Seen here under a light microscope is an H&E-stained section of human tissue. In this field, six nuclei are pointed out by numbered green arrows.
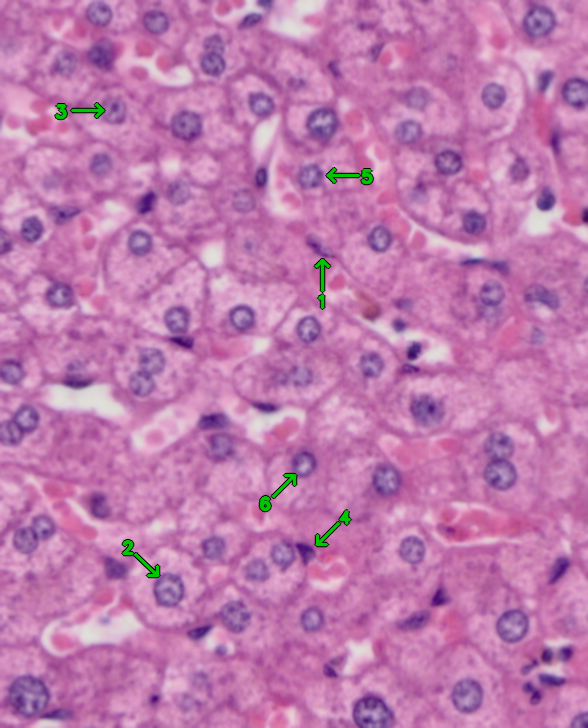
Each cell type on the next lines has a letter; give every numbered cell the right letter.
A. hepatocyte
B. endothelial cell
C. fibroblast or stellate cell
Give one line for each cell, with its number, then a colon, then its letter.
1: B
2: A
3: A
4: C
5: A
6: A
